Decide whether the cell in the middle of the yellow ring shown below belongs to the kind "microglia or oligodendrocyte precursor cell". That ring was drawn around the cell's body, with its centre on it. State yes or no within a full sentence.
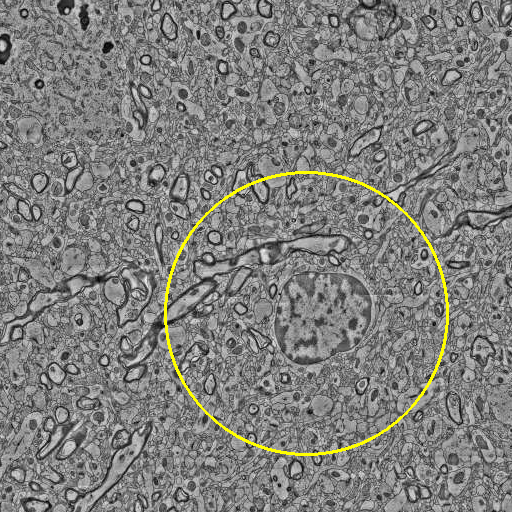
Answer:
Yes, the cell whose body lies at the ring's centre in the picture belongs to that kind.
